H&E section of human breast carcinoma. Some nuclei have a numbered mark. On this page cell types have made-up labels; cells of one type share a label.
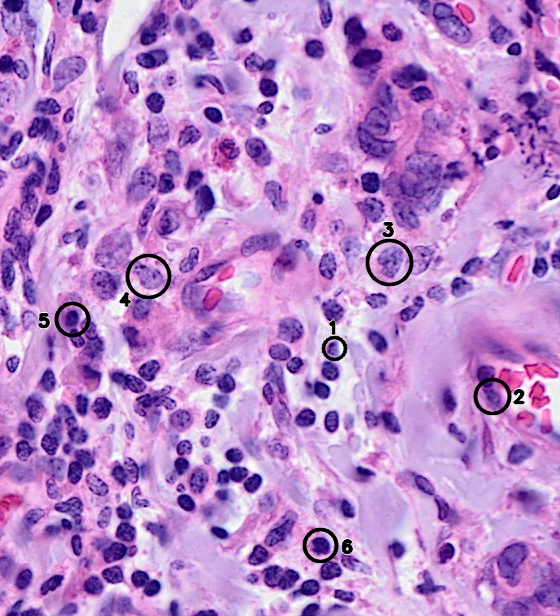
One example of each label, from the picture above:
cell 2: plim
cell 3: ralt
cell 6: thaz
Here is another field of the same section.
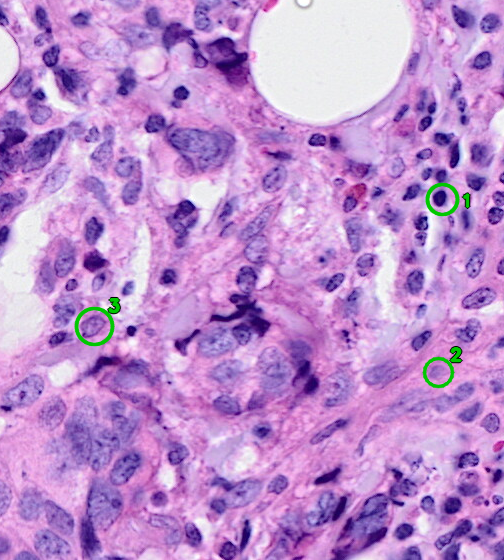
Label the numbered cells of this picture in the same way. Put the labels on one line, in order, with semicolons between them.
thaz; plim; ralt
